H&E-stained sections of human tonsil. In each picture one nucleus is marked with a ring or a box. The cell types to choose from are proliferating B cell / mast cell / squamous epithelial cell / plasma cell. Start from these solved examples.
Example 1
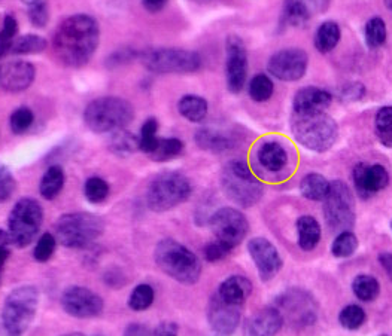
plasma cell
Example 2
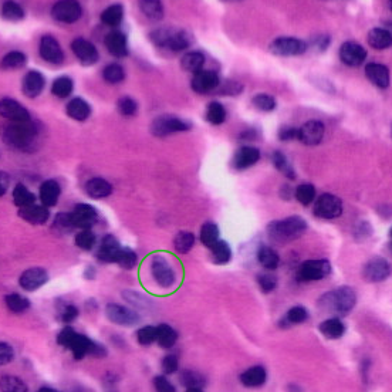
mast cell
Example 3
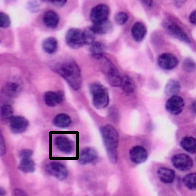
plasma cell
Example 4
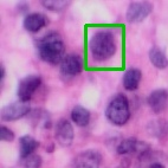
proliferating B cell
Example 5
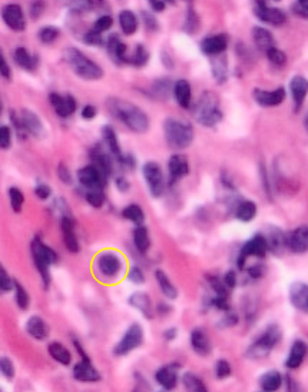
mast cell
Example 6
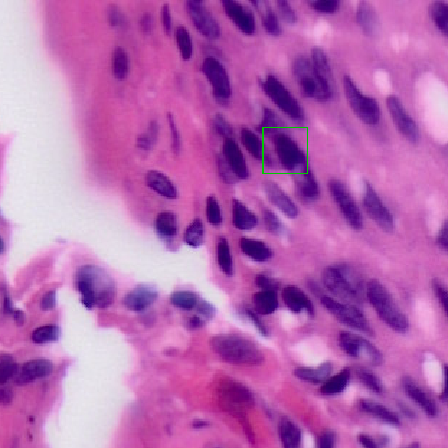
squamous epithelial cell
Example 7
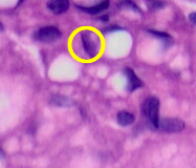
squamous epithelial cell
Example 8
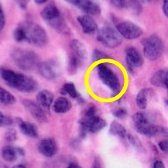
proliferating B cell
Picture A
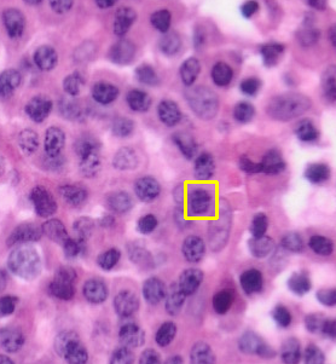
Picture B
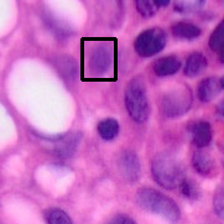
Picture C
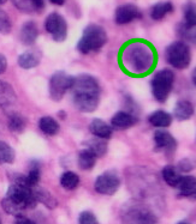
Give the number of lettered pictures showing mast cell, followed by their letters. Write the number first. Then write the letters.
0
